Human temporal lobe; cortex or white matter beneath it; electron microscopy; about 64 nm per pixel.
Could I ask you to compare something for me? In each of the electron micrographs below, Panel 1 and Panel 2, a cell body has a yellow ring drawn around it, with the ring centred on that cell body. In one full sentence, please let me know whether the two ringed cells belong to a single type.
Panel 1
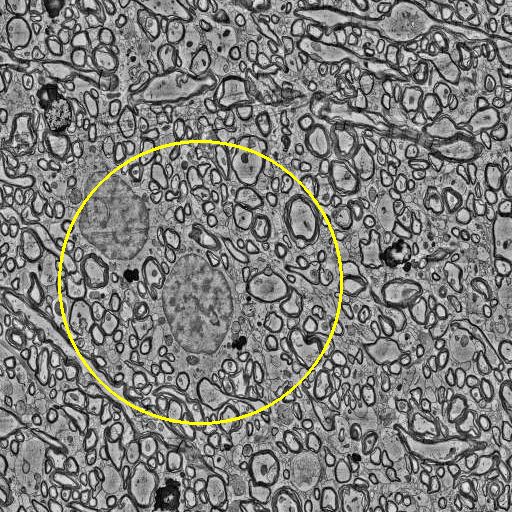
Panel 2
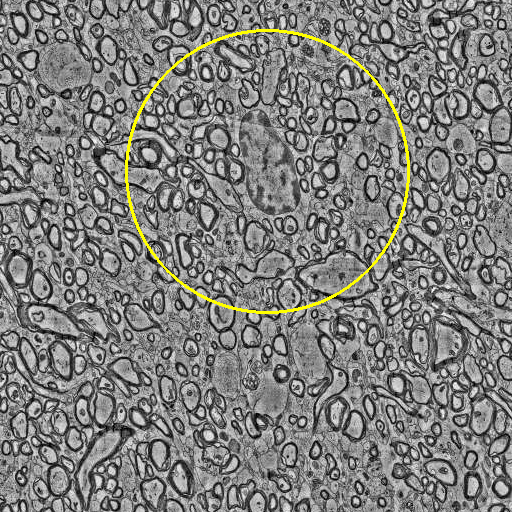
No, the two cells at the centres of the rings are of two types.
